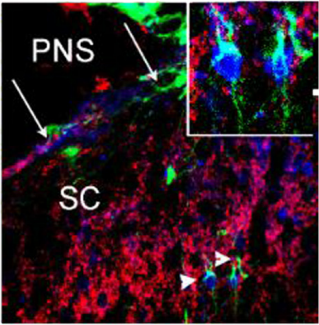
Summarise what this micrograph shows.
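Deeper in the cord, a few small green cells with short branching processes lie next to blue cell bodies. They sit within a dense field of fine red puncta and threads.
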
